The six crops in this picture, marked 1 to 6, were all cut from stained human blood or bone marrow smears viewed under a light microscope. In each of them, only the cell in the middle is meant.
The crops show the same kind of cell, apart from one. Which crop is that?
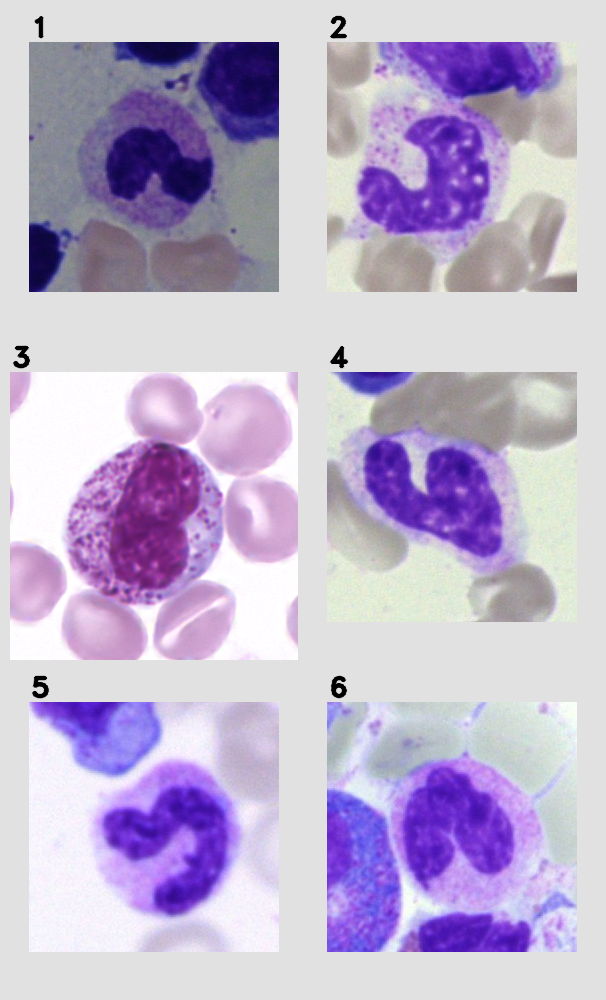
3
